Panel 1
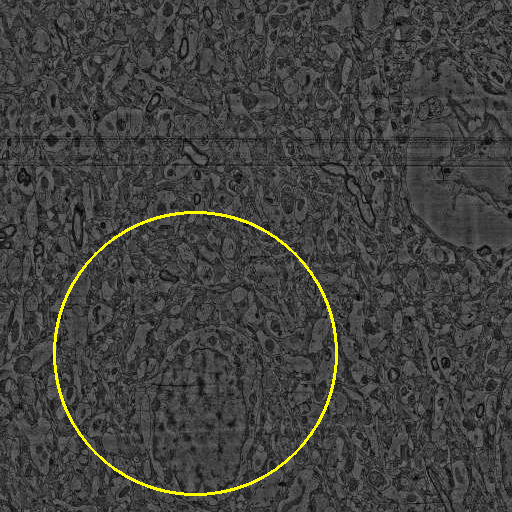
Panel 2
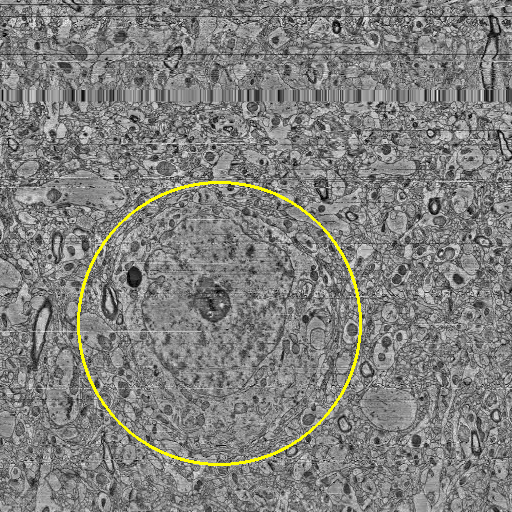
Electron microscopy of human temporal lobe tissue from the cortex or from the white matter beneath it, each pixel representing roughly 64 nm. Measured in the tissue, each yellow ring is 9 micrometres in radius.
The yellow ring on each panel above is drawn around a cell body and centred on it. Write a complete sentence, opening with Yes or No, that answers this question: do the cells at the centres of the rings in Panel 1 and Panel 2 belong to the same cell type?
Yes, both cells belong to the same cell type.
